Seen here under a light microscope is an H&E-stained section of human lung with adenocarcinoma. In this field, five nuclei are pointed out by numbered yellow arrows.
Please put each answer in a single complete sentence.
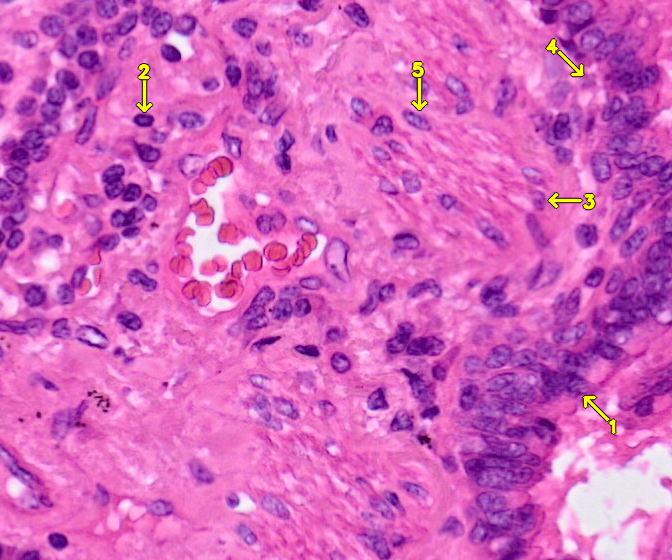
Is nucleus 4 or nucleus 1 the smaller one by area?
It is nucleus 4; nucleus 1 has about 2 times its area.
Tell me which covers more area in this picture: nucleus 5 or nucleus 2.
At about 1.5 times the area of nucleus 2, nucleus 5 is the larger of the two.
